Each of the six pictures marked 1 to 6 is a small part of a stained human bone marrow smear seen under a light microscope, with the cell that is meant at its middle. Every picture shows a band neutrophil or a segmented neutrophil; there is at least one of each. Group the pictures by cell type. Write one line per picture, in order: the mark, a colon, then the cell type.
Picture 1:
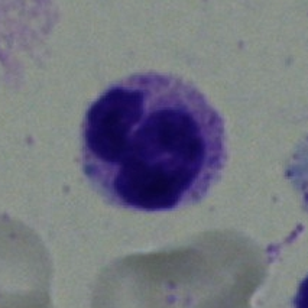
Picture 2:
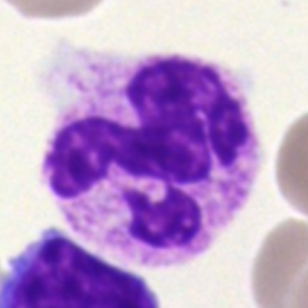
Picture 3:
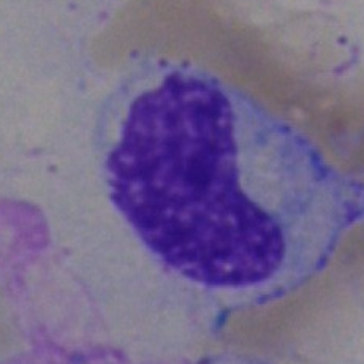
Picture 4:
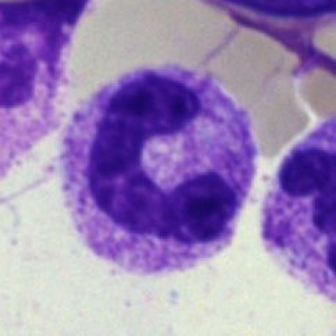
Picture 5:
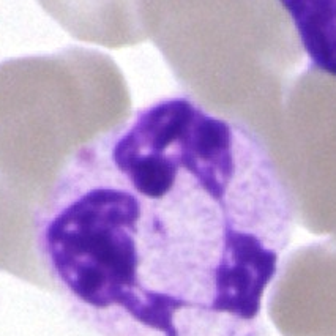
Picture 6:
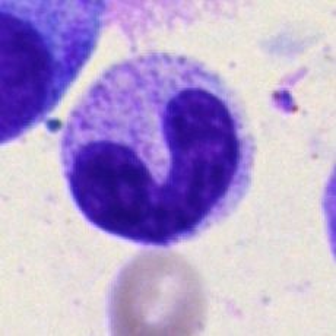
1: segmented neutrophil
2: segmented neutrophil
3: band neutrophil
4: band neutrophil
5: segmented neutrophil
6: band neutrophil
